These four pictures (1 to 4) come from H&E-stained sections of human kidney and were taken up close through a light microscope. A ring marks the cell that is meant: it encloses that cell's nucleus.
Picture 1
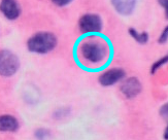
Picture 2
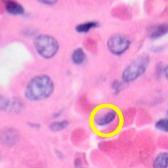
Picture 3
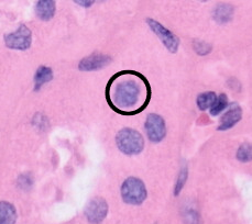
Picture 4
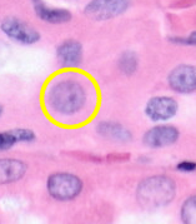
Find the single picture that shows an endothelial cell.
2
